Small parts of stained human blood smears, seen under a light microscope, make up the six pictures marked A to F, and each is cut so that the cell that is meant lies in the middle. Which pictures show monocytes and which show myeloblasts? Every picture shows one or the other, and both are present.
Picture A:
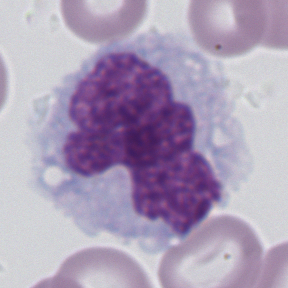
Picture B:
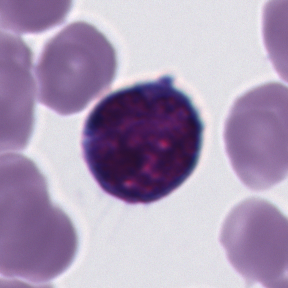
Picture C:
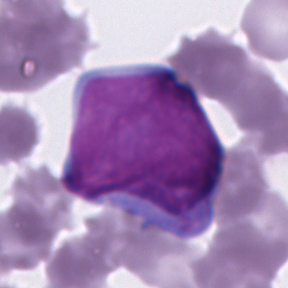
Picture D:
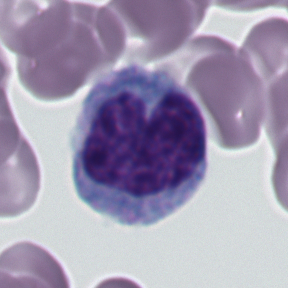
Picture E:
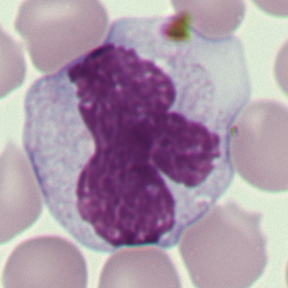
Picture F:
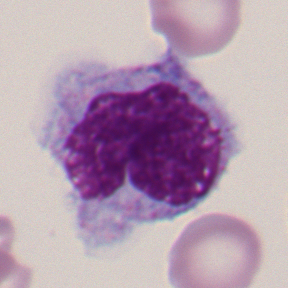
A: monocyte
B: myeloblast
C: myeloblast
D: monocyte
E: monocyte
F: monocyte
